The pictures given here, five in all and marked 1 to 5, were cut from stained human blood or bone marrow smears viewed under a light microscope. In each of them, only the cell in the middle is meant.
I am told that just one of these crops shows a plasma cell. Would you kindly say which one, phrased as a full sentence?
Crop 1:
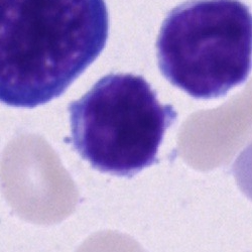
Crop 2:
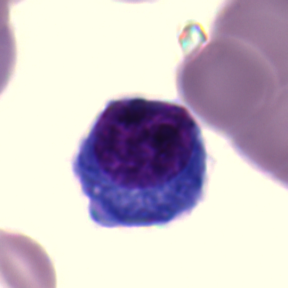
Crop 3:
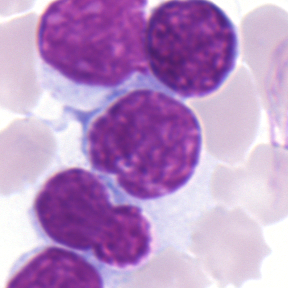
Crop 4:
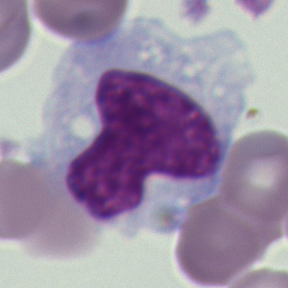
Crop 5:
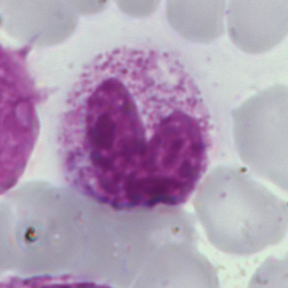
Crop 2 is the right one; it is the crop showing a plasma cell.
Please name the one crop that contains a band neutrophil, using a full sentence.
In this set, crop 5 is the one showing a band neutrophil.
